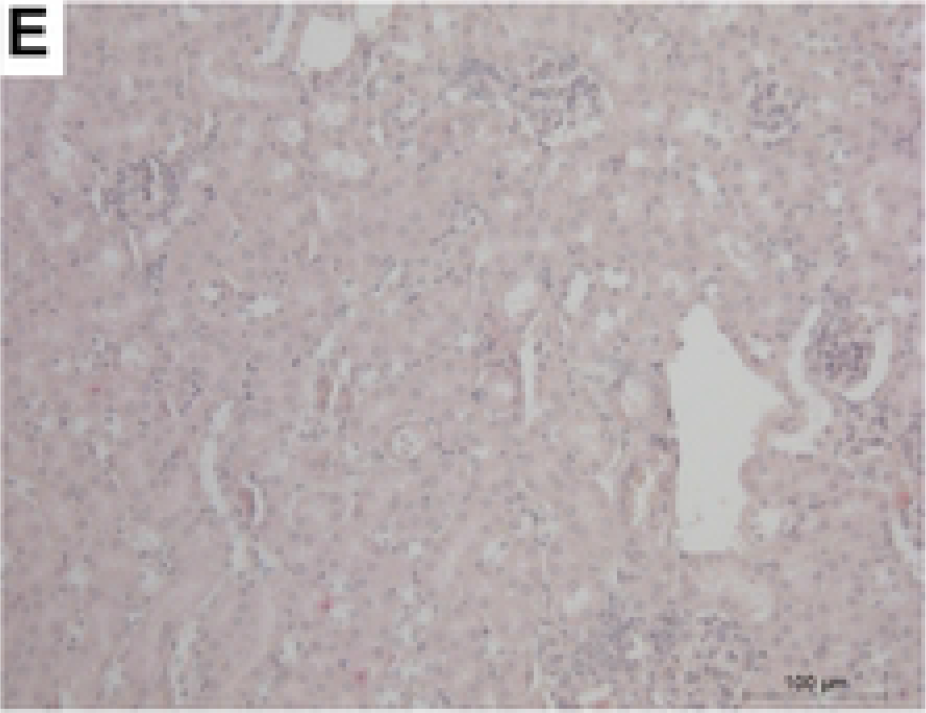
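Renal tissue at low magnification, stained pink with purple nuclei, shows closely packed tubules with pink cytoplasm around small lumens. Several round, nucleus-dense glomeruli lie scattered among the tubules. A large, empty, irregular vessel lumen lies toward the lower right. The tubules look evenly arranged, and their lumens contain little red material.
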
